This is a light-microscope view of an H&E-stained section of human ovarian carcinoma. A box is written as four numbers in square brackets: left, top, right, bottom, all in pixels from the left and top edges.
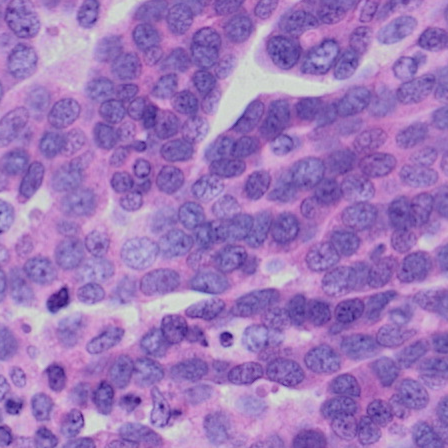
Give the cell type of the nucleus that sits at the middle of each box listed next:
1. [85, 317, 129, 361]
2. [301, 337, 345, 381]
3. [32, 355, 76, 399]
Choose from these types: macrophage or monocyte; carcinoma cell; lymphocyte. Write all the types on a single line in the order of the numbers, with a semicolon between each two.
macrophage or monocyte; carcinoma cell; macrophage or monocyte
